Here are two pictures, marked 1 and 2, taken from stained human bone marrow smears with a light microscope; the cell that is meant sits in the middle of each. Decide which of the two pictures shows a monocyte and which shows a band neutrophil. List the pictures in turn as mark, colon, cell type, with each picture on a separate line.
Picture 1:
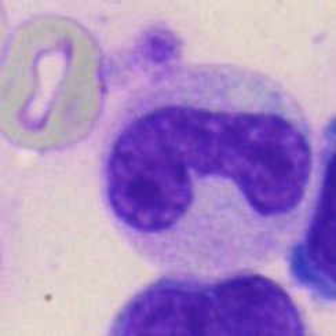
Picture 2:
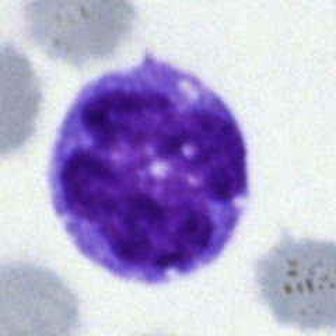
1: band neutrophil
2: monocyte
